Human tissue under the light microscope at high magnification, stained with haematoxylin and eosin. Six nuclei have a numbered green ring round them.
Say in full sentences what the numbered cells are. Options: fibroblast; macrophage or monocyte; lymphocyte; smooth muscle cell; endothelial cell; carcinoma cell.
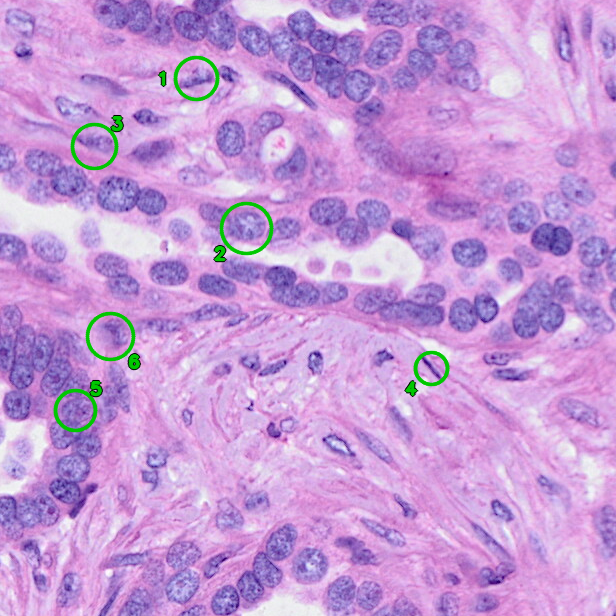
Cells 1, 3, 4 and 6 are fibroblasts. Cells 2 and 5 are carcinoma cells.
